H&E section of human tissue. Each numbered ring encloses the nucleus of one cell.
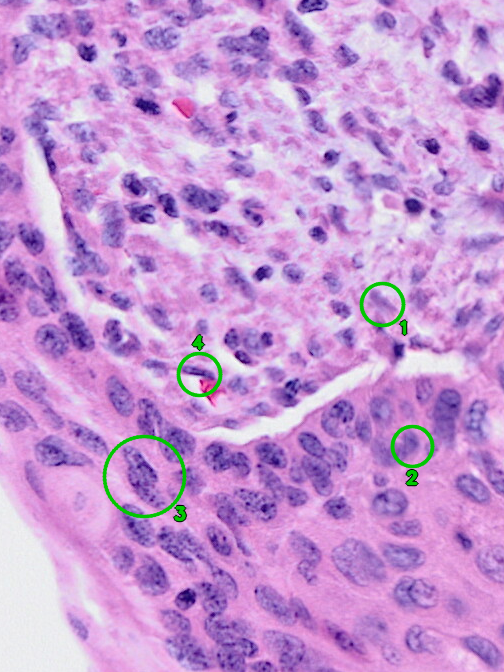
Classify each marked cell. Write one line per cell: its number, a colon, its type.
1: fibroblast
2: squamous carcinoma cell
3: squamous carcinoma cell
4: endothelial cell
